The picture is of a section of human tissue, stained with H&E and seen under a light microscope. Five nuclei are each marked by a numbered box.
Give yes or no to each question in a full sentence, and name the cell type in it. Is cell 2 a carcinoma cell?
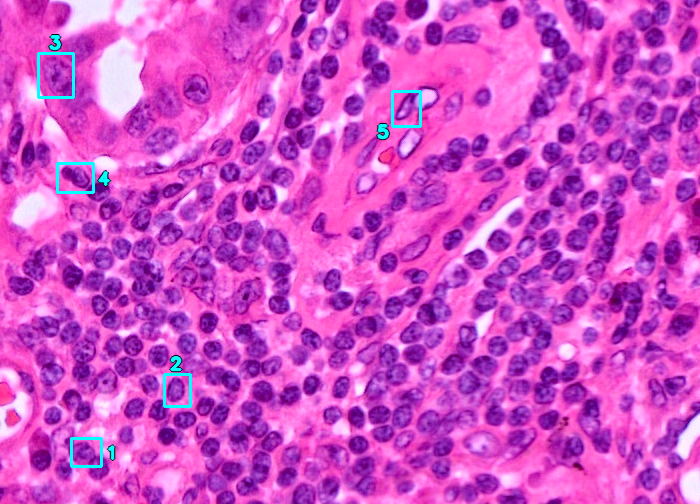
No, the cell referred to as 2 is a lymphocyte, not a carcinoma cell.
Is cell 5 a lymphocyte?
No, calling cell 5 a lymphocyte is a mistake; it is an endothelial cell.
